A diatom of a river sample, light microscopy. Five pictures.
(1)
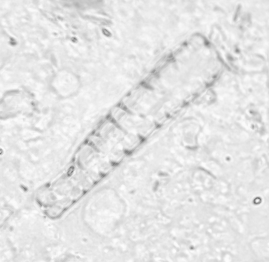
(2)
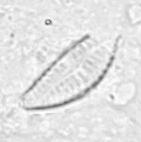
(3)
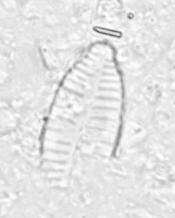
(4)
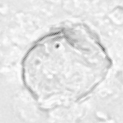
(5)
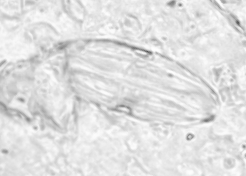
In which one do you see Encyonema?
In picture 2.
